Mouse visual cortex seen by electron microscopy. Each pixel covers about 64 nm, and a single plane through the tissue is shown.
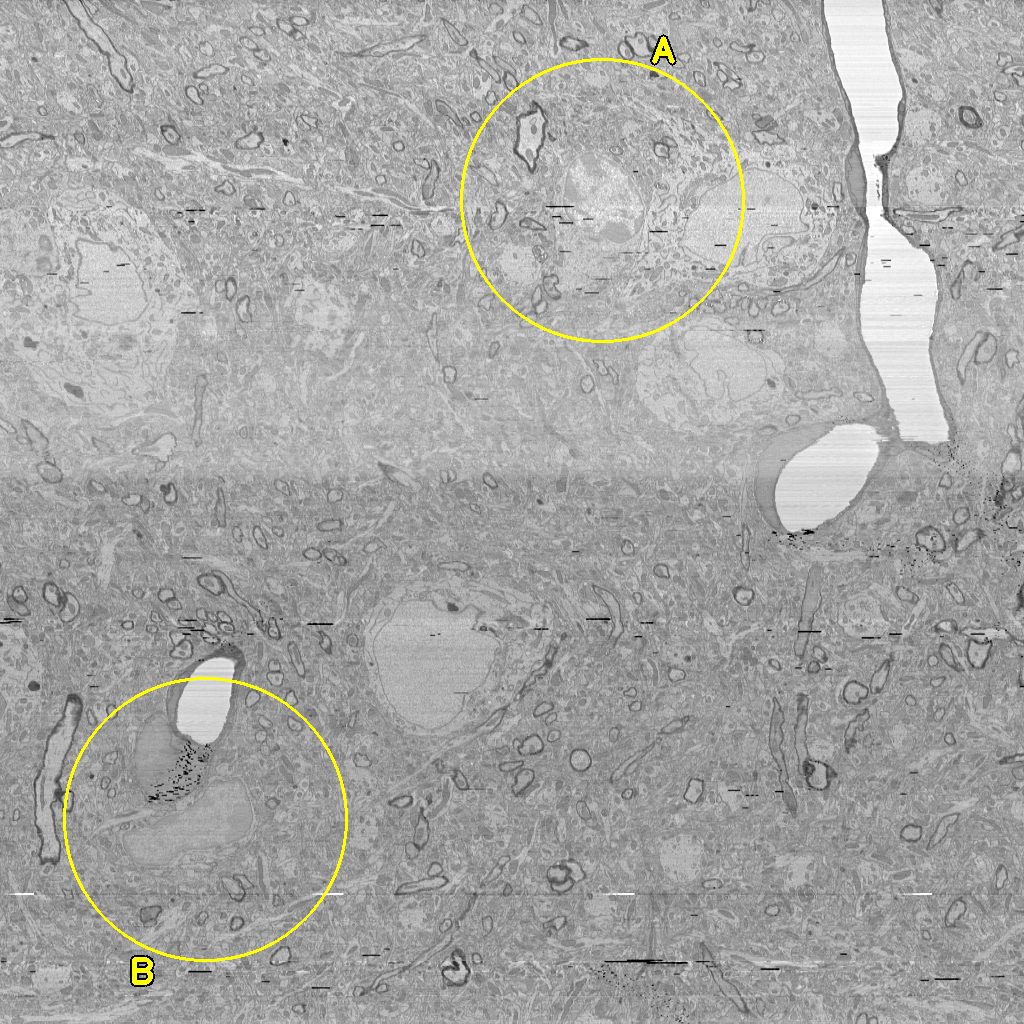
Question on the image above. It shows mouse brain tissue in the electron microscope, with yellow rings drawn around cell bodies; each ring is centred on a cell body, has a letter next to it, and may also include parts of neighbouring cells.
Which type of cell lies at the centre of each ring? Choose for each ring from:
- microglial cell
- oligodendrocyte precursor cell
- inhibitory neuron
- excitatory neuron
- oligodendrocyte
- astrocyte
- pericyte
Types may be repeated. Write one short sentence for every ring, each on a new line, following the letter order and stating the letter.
Ring A has been drawn around an oligodendrocyte.
Ring B has been drawn around a microglial cell.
